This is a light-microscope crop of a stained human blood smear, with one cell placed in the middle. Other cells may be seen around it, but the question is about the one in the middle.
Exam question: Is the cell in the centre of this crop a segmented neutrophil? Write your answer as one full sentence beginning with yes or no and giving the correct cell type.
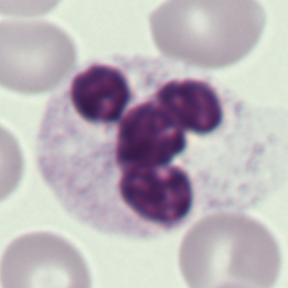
Yes, the cell lying in the middle is a segmented neutrophil.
